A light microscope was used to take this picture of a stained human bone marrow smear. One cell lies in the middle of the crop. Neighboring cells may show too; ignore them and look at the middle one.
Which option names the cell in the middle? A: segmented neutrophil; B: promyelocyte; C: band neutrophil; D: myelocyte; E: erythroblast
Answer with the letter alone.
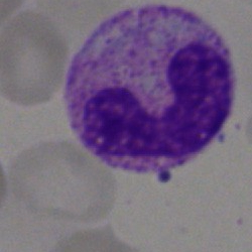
C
